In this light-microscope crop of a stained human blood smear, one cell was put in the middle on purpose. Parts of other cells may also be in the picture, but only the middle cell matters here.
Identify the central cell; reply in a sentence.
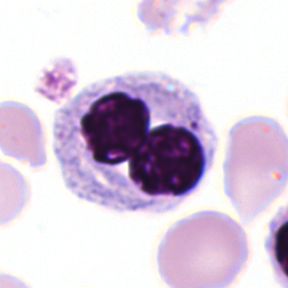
In this crop, the cell at the very middle is a normoblast.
